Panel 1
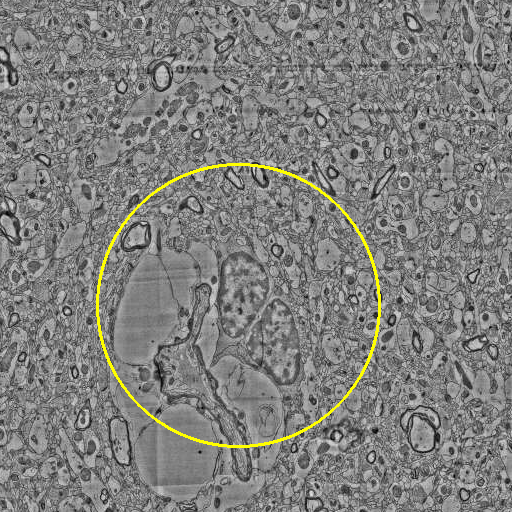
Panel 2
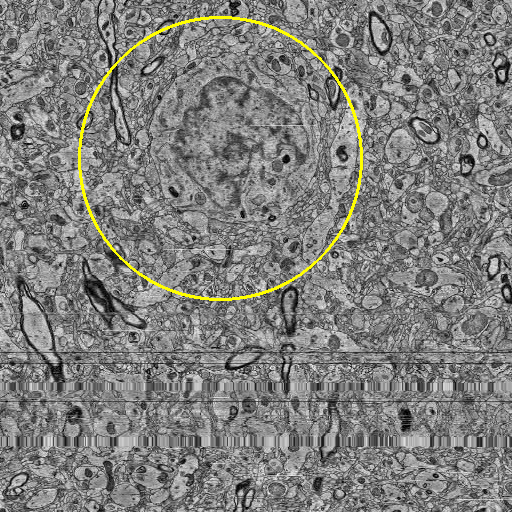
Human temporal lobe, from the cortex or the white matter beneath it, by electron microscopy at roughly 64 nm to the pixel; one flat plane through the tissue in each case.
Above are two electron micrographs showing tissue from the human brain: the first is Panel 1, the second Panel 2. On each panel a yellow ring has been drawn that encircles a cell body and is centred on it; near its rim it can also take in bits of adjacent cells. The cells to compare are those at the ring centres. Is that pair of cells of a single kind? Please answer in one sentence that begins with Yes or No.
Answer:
No, the ring-centred cells of Panel 1 and Panel 2 belong to two kinds.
